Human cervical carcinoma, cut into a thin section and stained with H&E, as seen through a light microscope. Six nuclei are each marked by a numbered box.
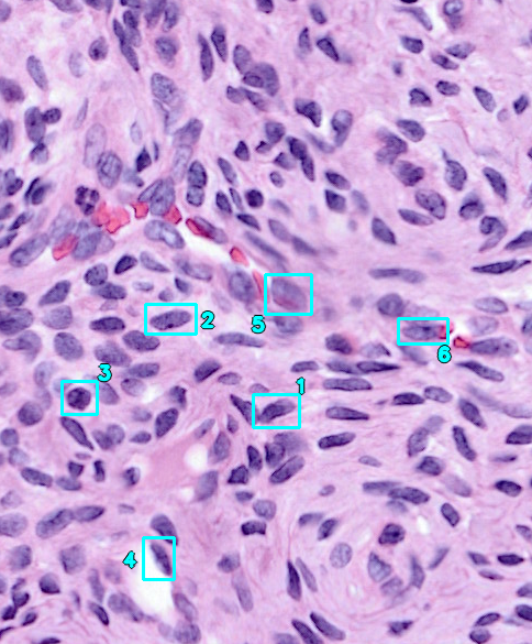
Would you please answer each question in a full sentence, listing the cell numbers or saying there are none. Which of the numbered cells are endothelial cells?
The cells tagged 4, 5 and 6 are endothelial cells in this tissue section.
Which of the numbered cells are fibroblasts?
Each of the cells numbered 1 and 2 is among the fibroblasts.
